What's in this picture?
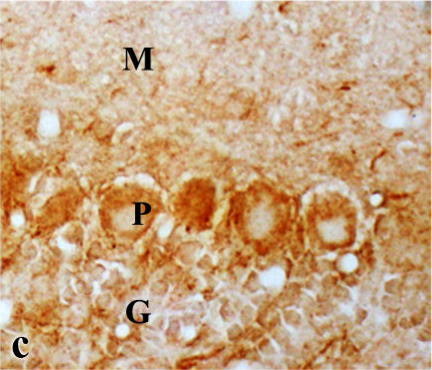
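Cerebellar cortex with a row of large Purkinje cell bodies between the molecular layer above and the granule cell layer below. The Purkinje cell bodies have brown cytoplasm, with a paler central nucleus. The granule cell layer below shows small, closely set, lightly to moderately brown cell bodies. The molecular layer above is a pale finely textured neuropil with small clear spaces.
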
